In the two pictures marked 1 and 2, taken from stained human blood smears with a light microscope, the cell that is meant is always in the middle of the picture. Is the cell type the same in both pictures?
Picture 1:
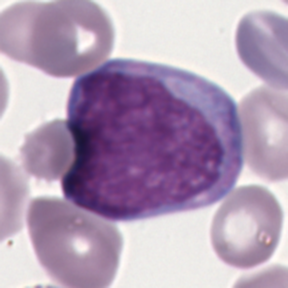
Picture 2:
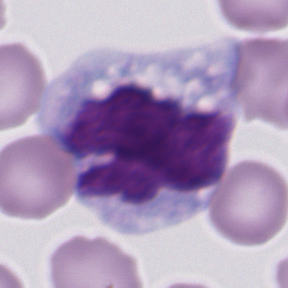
no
